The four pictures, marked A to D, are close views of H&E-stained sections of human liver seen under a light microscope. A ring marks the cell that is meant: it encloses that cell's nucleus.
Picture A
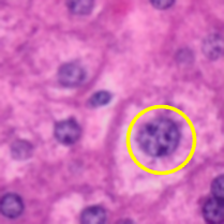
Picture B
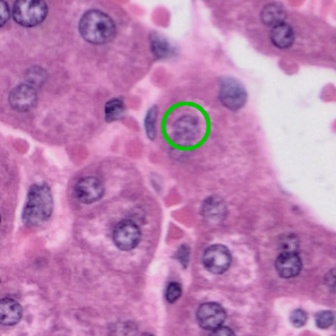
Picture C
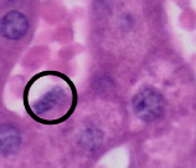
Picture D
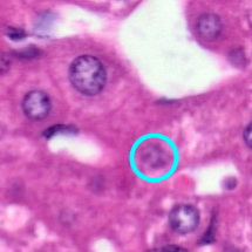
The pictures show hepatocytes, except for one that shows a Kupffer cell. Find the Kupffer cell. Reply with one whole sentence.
The cell in picture C is the Kupffer cell.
